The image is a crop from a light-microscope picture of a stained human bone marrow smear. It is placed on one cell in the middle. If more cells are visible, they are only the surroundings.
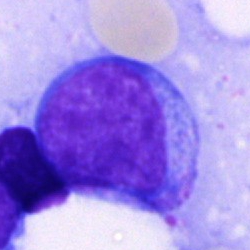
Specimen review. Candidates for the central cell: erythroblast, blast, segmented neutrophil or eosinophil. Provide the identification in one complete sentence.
In the centre of this crop there is a blast.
